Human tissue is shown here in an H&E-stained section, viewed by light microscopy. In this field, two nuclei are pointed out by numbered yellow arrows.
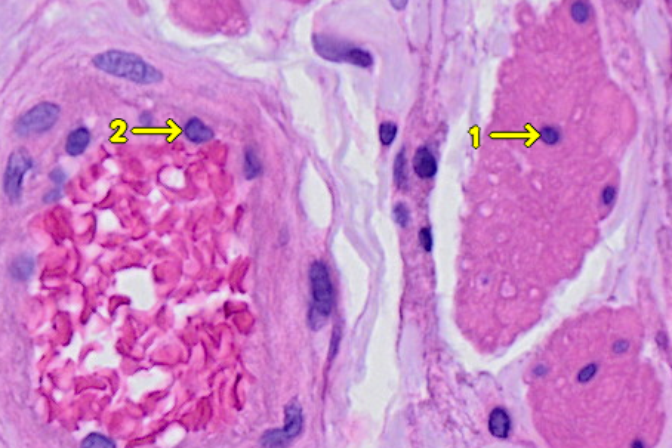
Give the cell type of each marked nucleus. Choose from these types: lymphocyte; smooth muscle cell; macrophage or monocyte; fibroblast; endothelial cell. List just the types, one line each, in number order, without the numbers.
smooth muscle cell
endothelial cell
